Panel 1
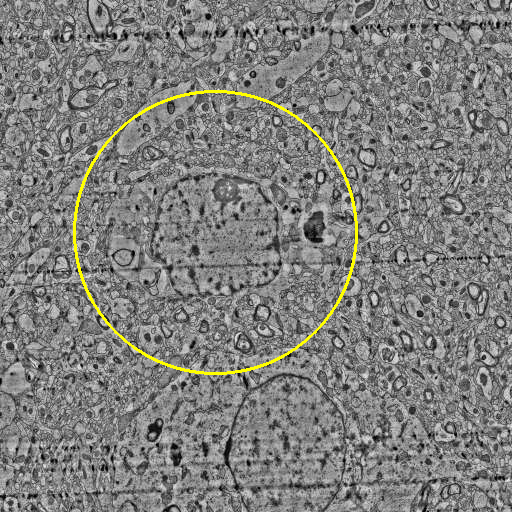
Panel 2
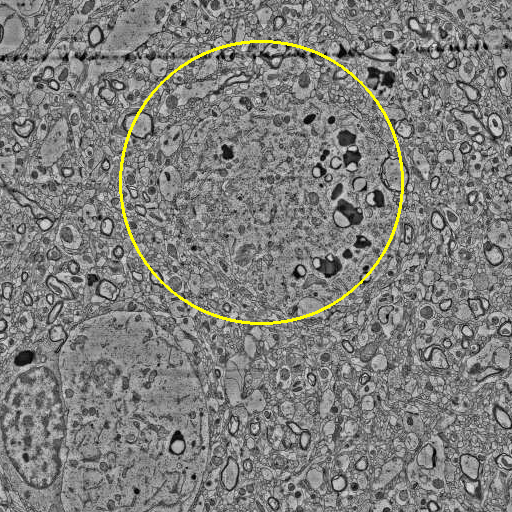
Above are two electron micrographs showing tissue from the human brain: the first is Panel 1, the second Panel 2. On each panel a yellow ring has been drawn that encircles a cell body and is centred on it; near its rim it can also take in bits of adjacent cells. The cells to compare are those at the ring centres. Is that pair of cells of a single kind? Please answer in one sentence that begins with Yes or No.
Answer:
No, the ring-centred cells of Panel 1 and Panel 2 belong to two kinds.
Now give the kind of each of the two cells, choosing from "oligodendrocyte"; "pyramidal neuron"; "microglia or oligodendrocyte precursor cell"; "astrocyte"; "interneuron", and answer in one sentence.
The cell in the first picture is an astrocyte, and the cell in the second is an oligodendrocyte.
